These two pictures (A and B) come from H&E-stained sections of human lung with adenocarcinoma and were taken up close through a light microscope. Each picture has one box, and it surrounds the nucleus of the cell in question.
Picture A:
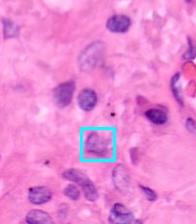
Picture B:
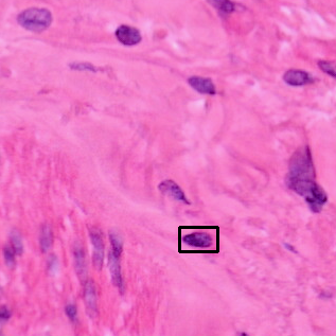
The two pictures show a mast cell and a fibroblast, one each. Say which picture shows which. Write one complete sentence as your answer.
Picture B shows a mast cell, while picture A shows a fibroblast.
